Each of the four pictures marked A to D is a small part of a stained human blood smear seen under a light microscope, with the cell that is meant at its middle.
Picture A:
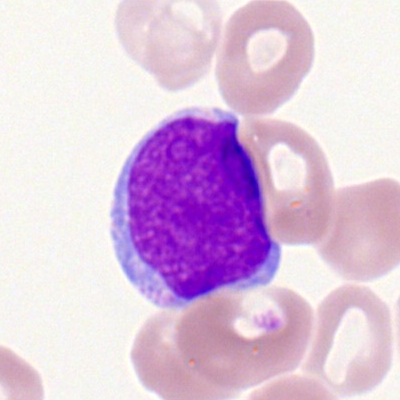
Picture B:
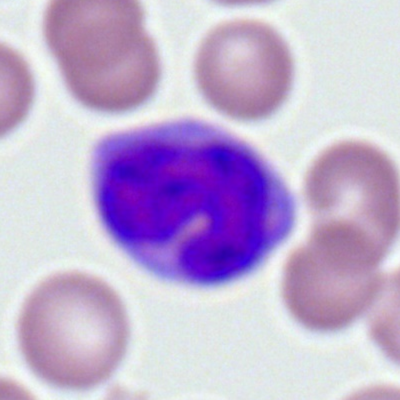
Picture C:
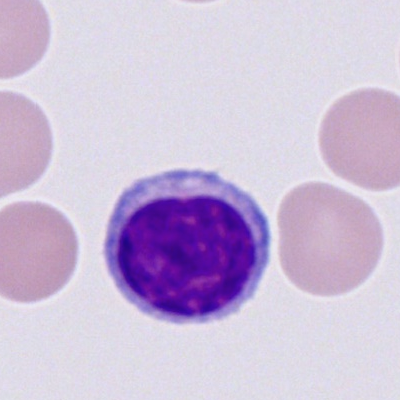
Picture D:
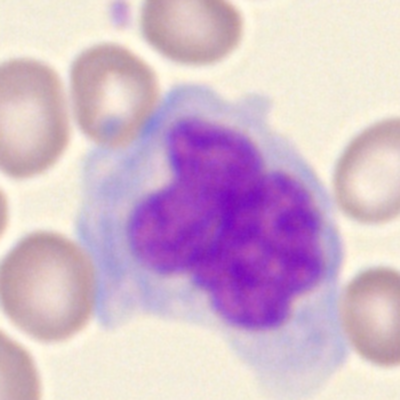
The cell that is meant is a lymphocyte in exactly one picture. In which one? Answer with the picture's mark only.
C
